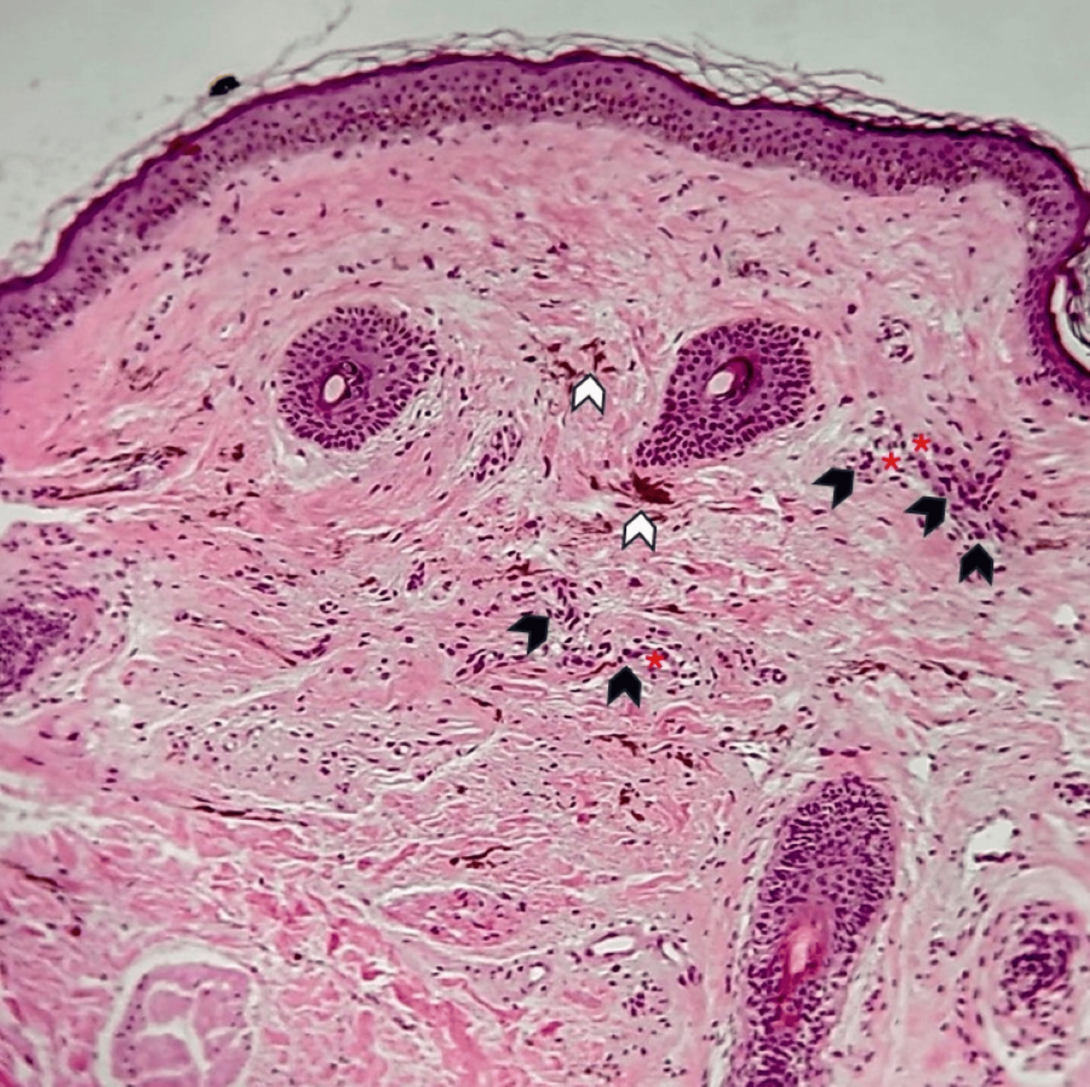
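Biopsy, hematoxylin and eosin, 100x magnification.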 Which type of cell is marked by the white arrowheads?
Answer: melanophages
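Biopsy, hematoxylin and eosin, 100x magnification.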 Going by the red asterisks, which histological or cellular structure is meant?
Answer: Vessels.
